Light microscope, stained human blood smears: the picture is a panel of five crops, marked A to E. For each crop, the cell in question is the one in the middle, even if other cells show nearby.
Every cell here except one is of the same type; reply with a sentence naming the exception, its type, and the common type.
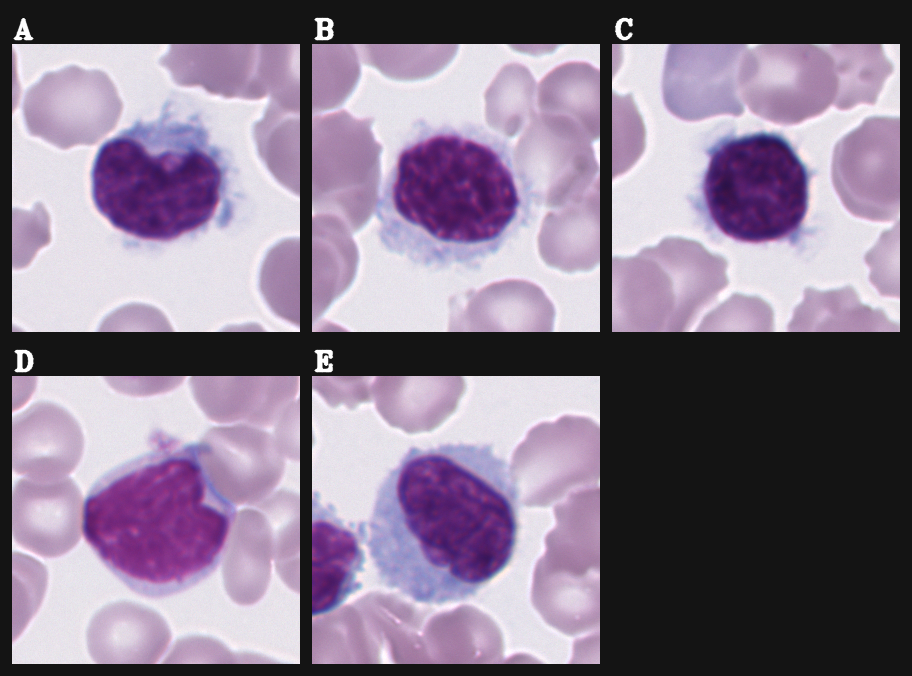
Crop D shows a large granular lymphocyte, while all of the others show hairy cells.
